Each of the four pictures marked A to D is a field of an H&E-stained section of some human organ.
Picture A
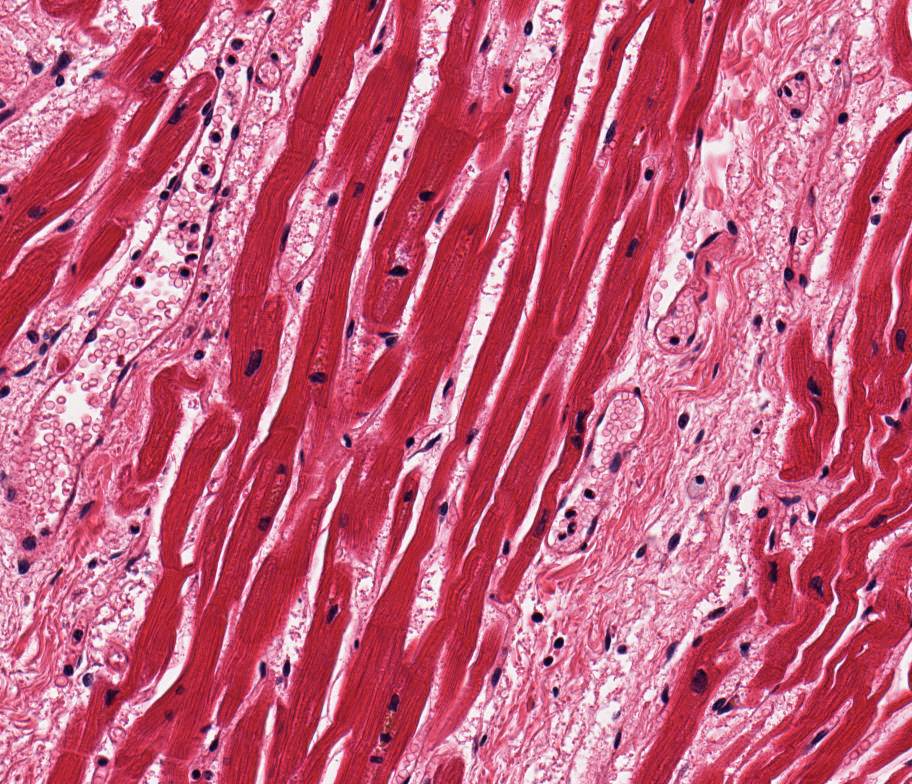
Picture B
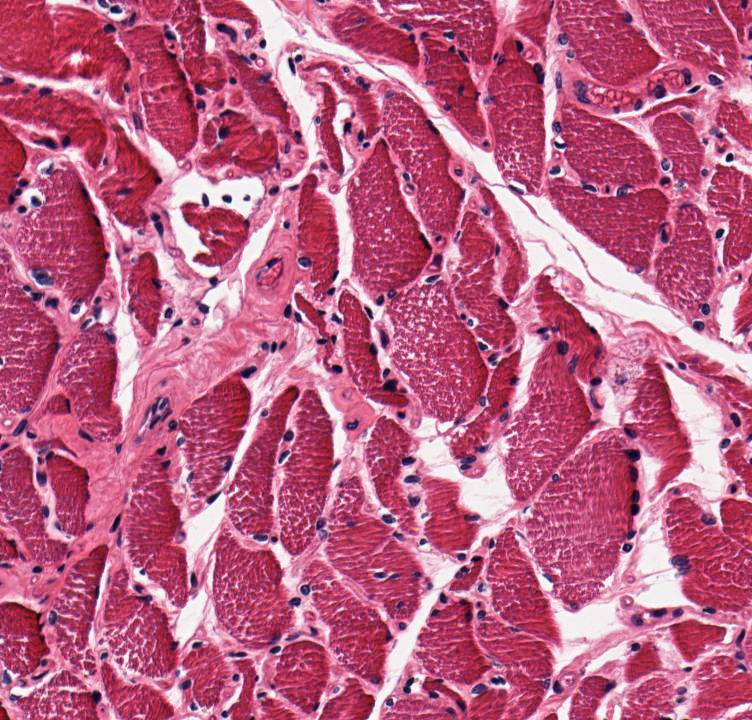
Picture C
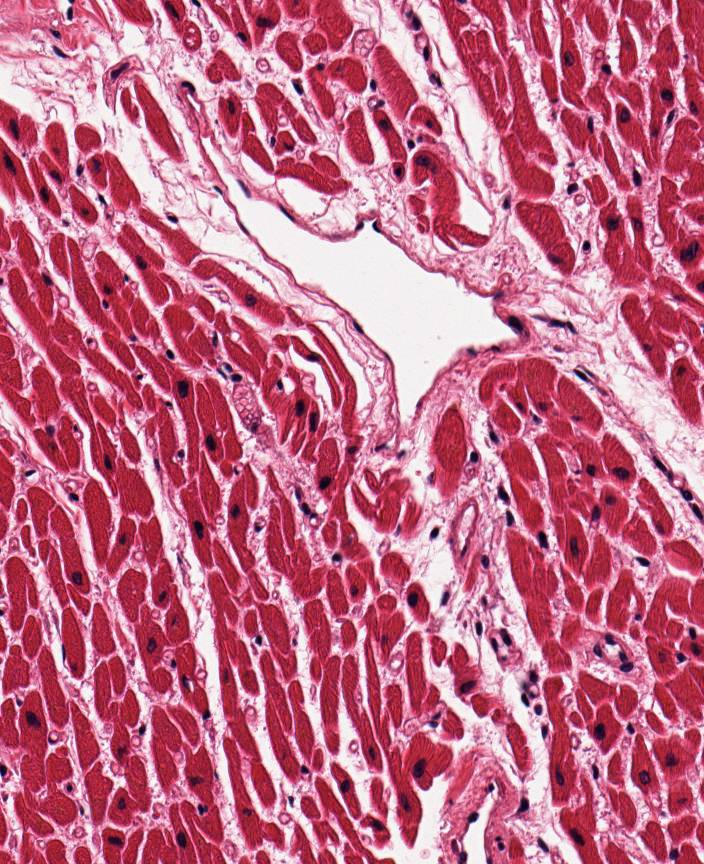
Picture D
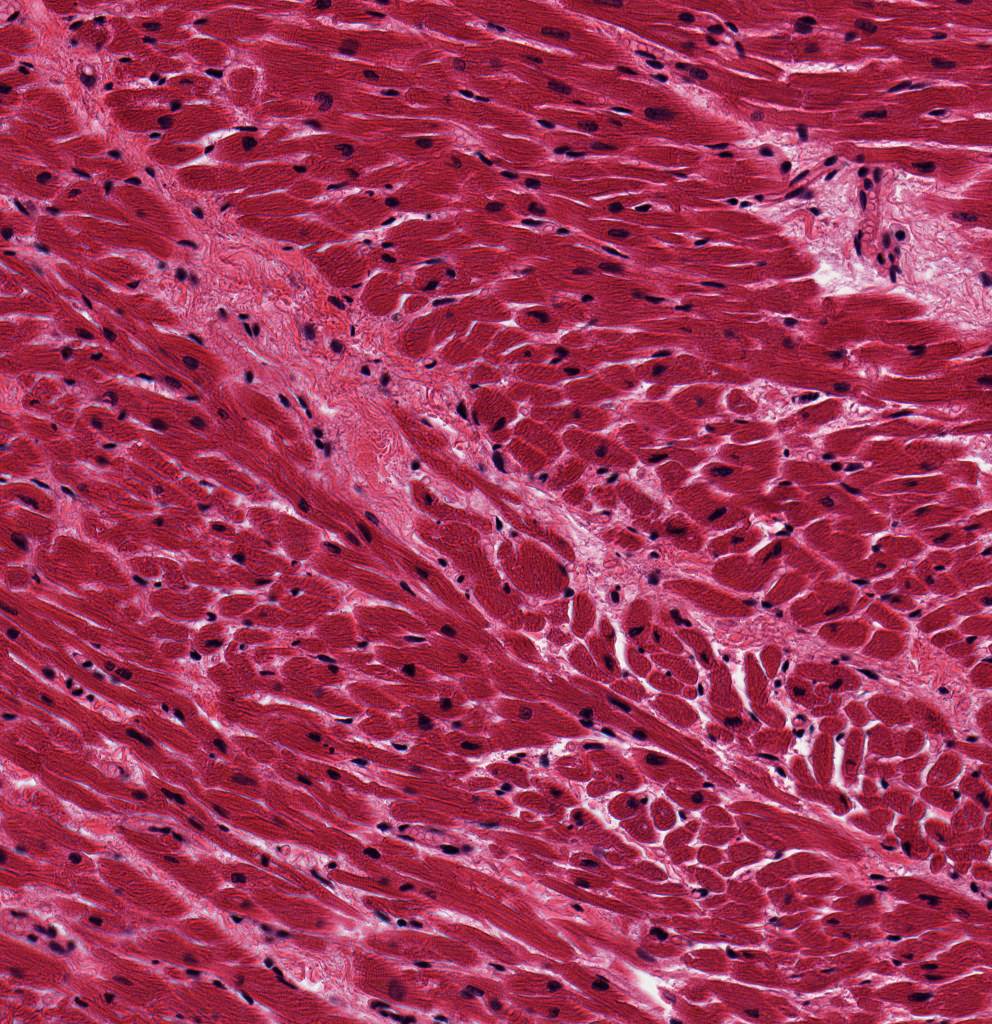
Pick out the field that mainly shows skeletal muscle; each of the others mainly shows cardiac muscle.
B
